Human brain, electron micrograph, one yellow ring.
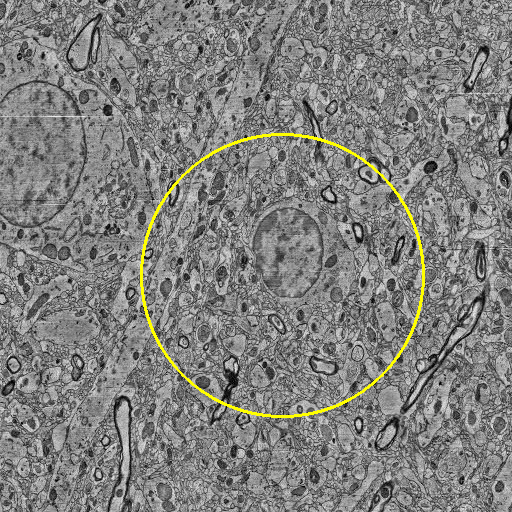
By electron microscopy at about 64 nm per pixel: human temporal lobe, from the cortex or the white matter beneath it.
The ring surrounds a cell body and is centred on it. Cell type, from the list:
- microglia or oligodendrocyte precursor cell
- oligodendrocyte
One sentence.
The yellow ring circles an oligodendrocyte.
